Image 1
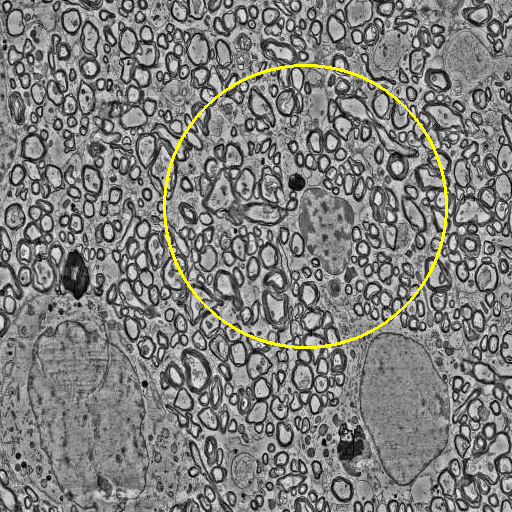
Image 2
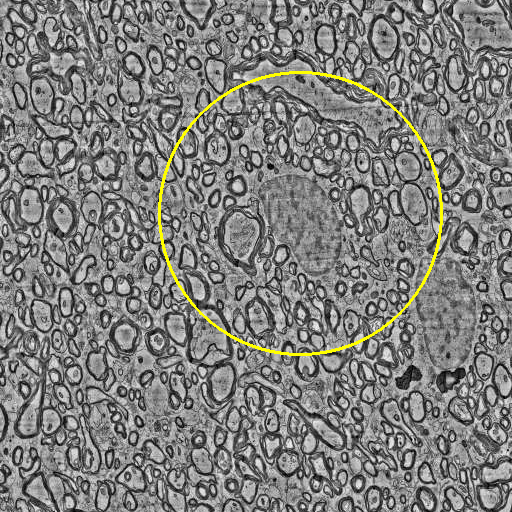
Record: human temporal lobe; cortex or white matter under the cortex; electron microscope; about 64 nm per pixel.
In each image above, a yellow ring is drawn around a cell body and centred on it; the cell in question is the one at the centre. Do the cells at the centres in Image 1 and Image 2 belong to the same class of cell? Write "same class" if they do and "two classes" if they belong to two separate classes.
two classes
